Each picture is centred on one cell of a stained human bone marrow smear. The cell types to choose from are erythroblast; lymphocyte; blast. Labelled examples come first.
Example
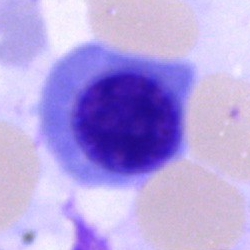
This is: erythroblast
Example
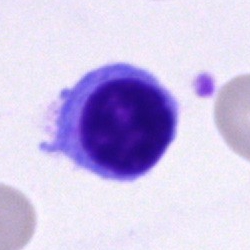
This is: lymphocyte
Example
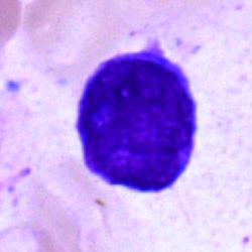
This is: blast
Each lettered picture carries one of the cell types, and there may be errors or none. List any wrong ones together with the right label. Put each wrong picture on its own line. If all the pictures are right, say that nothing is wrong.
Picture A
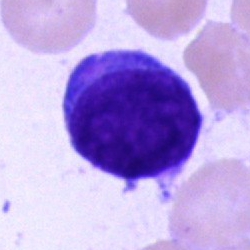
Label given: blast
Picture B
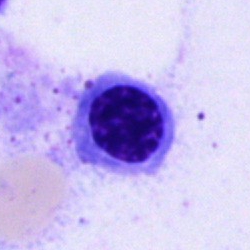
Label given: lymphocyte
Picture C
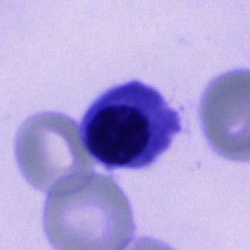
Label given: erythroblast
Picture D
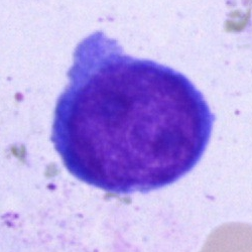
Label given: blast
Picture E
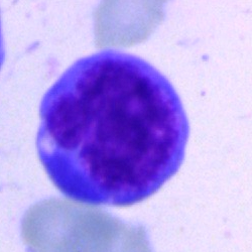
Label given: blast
B: not lymphocyte but erythroblast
